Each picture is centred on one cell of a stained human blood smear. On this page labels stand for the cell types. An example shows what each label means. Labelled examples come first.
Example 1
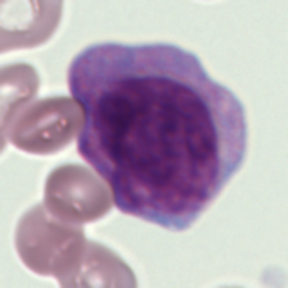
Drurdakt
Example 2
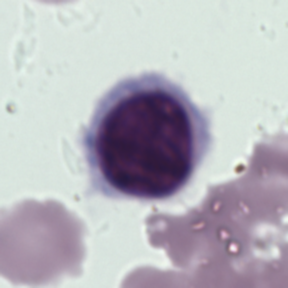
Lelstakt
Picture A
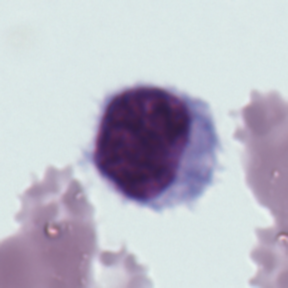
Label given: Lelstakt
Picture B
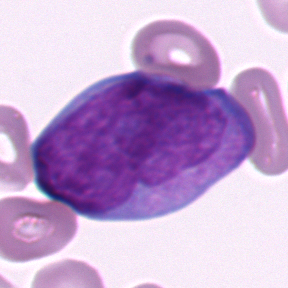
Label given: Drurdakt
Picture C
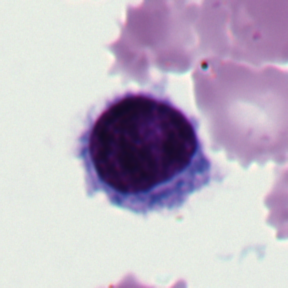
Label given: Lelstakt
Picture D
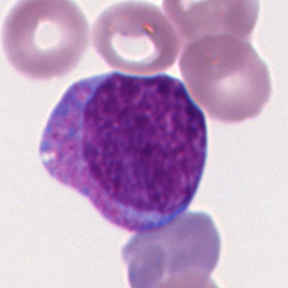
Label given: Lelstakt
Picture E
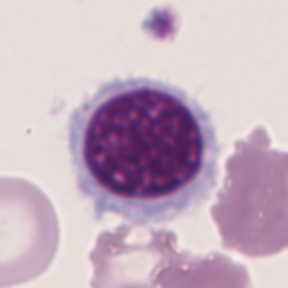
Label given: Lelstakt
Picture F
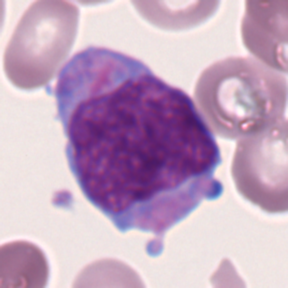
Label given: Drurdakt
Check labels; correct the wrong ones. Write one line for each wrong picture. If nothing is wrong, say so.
D is labelled Lelstakt; correct label: Drurdakt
